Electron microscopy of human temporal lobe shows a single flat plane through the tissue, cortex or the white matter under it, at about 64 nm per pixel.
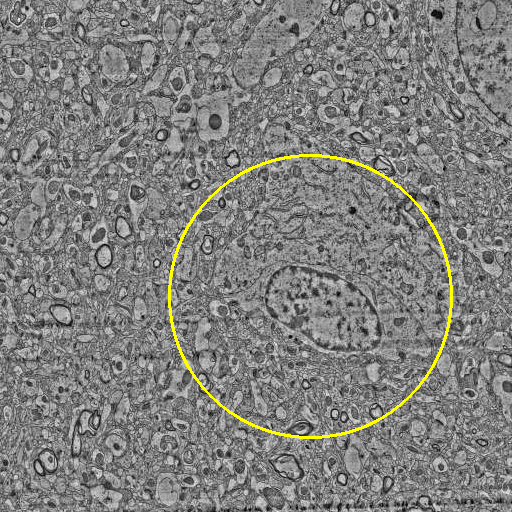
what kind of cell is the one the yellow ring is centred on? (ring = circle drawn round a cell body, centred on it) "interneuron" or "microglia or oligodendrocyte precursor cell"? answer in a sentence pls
The ring is drawn around a microglial cell or oligodendrocyte precursor cell.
